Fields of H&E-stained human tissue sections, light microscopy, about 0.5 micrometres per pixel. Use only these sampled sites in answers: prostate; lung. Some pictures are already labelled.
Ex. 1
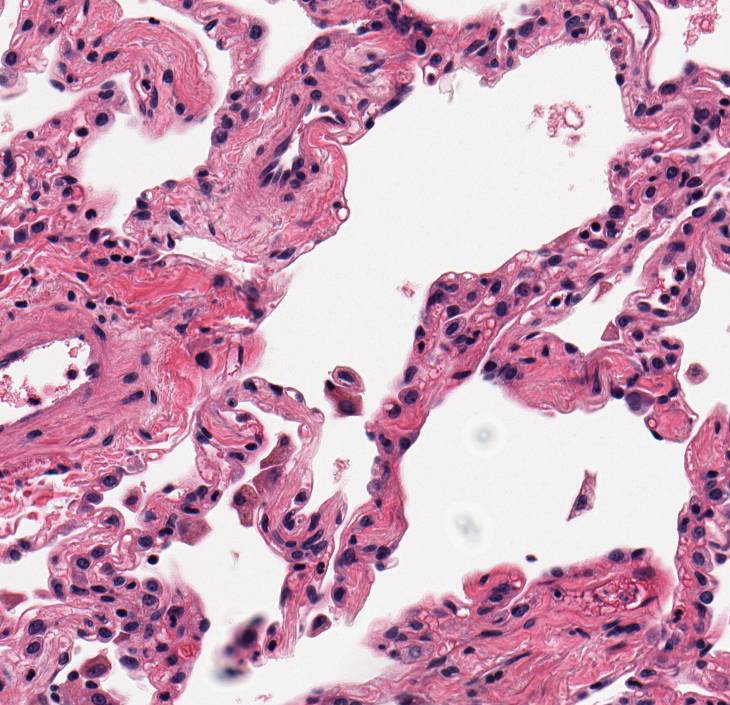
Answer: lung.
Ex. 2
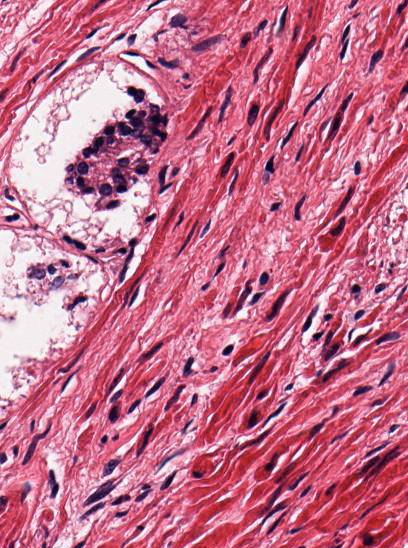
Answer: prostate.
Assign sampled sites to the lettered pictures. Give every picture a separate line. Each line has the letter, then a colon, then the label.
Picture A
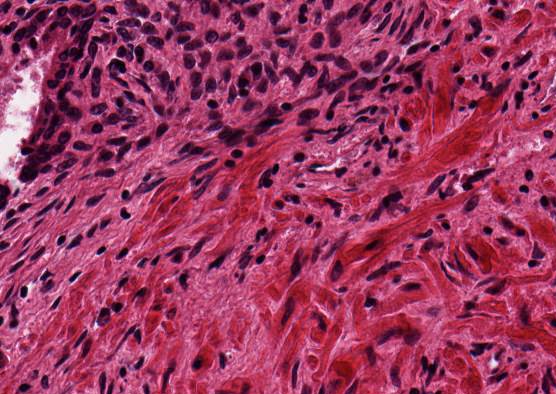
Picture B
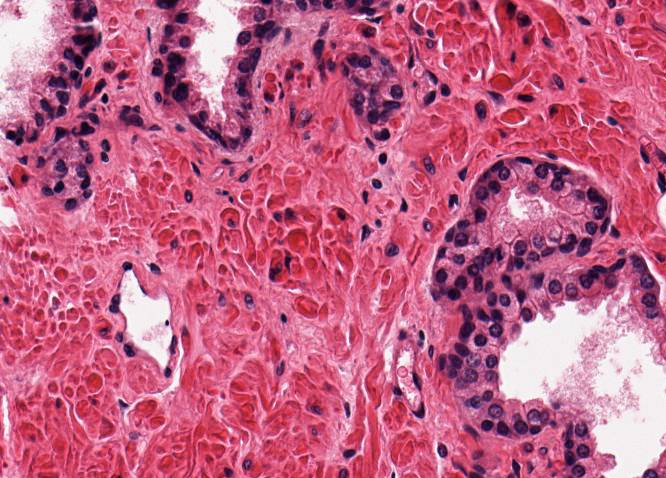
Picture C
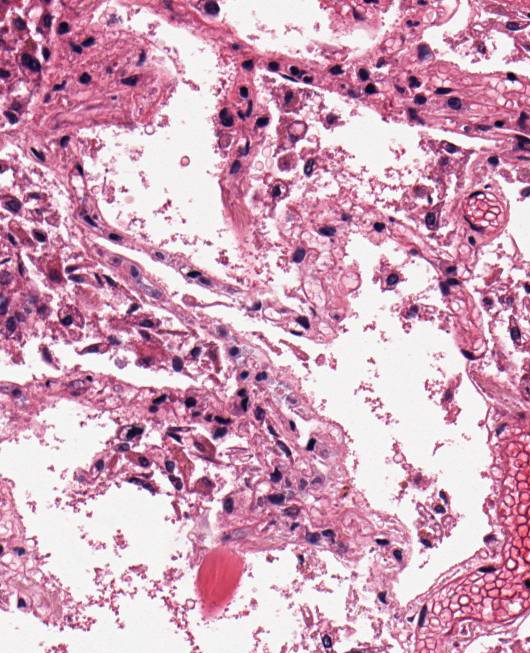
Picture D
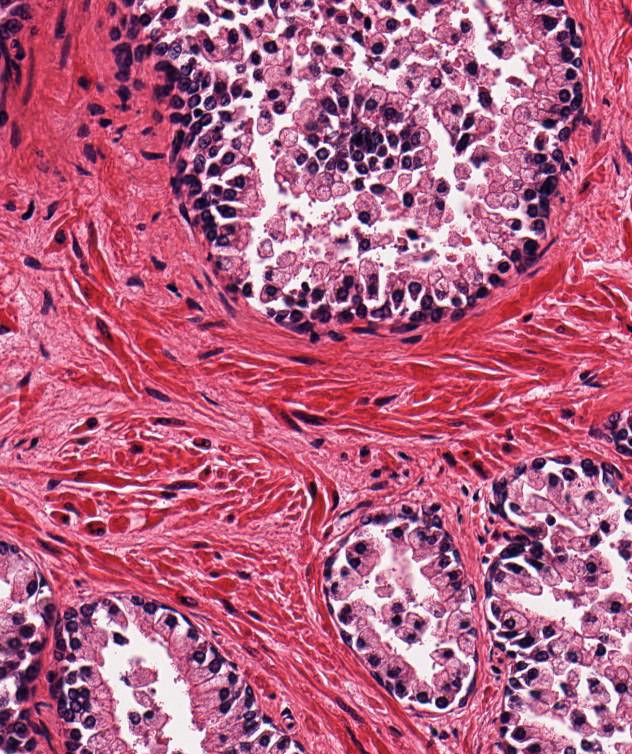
A: prostate.
B: prostate.
C: lung.
D: prostate.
